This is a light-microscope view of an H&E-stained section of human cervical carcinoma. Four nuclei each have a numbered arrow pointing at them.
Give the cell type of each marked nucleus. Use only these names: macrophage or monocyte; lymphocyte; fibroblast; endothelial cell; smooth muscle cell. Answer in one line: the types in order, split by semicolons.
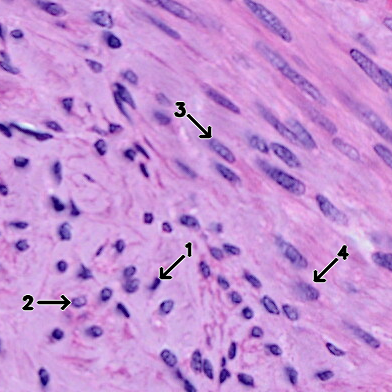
fibroblast; smooth muscle cell; smooth muscle cell; smooth muscle cell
